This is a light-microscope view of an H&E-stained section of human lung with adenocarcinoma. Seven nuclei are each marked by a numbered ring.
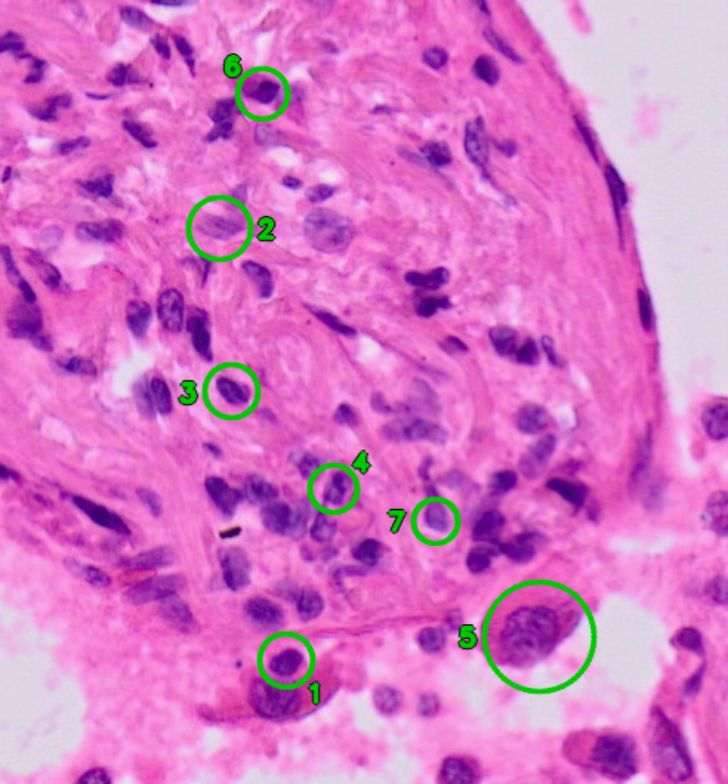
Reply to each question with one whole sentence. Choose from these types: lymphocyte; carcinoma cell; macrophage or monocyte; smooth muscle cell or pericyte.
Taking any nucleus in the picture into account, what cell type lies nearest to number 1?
The nucleus nearest to number 1 is that of a carcinoma cell.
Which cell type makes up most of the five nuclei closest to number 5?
Lymphocytes make up most of the five nuclei closest to number 5.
